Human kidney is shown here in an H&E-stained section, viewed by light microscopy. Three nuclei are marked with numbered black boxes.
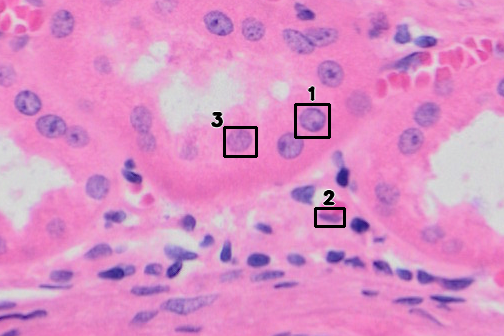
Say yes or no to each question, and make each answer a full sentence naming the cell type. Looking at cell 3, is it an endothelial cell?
No, cell 3 is a proximal tubule cell; it is not an endothelial cell.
